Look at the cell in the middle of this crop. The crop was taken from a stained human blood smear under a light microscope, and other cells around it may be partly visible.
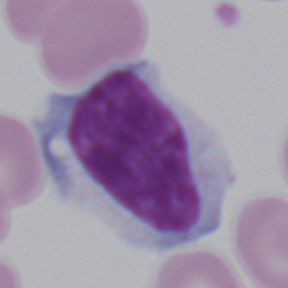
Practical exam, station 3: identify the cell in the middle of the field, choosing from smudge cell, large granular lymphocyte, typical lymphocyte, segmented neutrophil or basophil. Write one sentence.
The middle of this crop holds a typical lymphocyte.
